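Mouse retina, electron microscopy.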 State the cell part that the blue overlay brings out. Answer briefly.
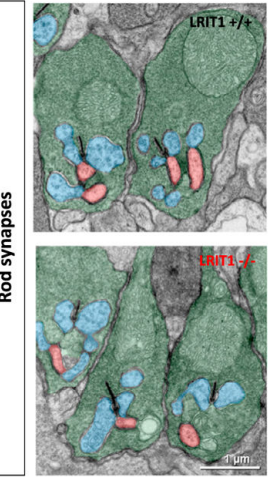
Horizontal cell processes.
